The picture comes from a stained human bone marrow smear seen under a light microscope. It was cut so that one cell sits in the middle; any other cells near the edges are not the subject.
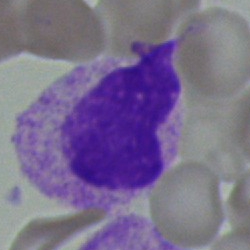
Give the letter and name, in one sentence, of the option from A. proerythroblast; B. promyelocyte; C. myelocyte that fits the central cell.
The cell shown centrally is a myelocyte; option C is the correct option.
